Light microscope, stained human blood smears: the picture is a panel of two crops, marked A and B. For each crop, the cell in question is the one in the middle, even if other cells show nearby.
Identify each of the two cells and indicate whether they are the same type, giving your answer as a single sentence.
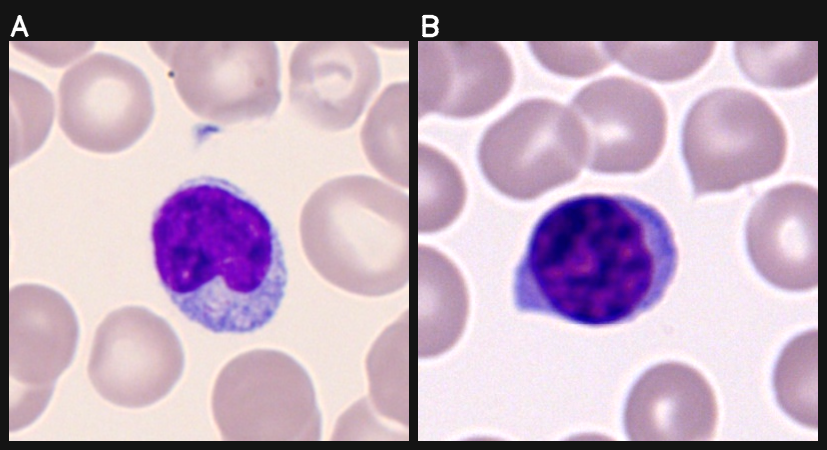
Yes, both crops do show lymphocytes in the middle.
